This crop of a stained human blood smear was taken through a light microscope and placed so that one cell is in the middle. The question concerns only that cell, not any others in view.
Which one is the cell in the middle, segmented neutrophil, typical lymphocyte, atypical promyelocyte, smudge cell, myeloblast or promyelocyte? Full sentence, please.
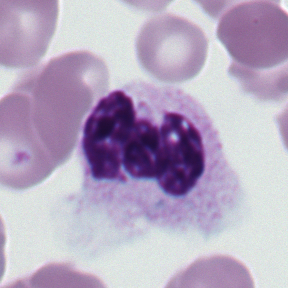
The middle position in this crop is taken by a segmented neutrophil.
